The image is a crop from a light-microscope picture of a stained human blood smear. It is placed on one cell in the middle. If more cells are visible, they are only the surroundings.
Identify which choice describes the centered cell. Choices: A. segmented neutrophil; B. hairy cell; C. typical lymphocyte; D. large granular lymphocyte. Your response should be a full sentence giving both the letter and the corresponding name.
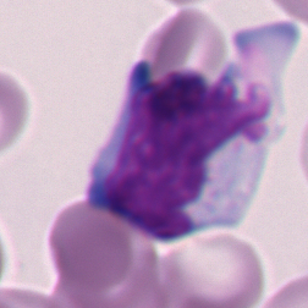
Option C holds up: the cell in the middle is a typical lymphocyte.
